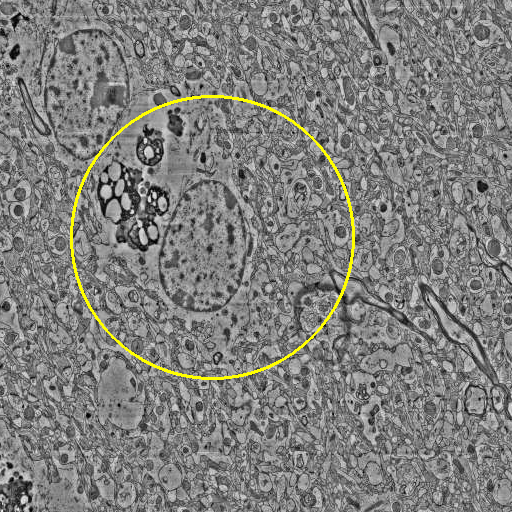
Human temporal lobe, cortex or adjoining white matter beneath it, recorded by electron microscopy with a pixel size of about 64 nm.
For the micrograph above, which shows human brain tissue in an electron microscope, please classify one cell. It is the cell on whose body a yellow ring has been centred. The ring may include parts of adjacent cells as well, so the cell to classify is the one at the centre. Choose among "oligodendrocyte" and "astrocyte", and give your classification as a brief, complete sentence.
I classify this cell as an astrocyte.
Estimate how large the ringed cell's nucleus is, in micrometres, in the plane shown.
Approximately 8 by 6 micrometers in this plane.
